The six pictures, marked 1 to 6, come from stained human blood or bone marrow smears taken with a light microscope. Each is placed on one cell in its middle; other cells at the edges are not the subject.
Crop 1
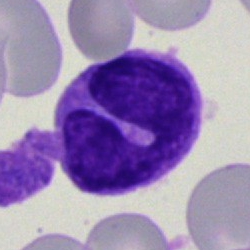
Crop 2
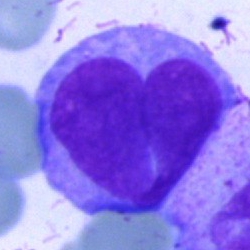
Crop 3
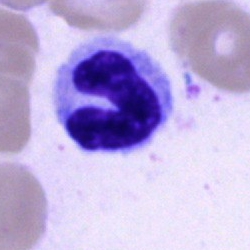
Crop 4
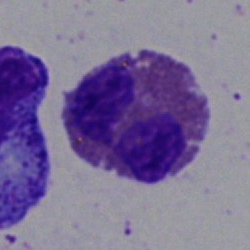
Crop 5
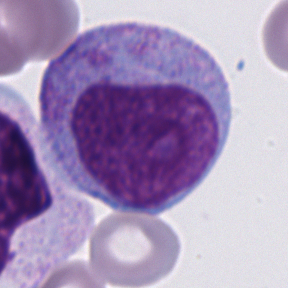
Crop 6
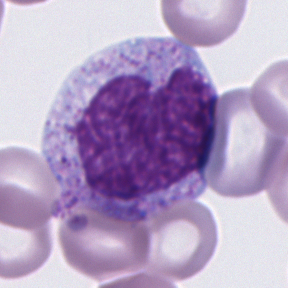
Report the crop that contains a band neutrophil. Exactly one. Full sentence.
Crop 3 is the one that shows a band neutrophil.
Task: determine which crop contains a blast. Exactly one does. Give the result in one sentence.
Crop 2 represents a blast, while the other crops do not.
